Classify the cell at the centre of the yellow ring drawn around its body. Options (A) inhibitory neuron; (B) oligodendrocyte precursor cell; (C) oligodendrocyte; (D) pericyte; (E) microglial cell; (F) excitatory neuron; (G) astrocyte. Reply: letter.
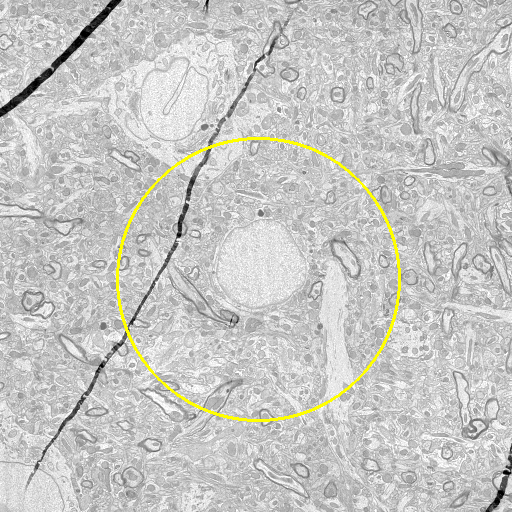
G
